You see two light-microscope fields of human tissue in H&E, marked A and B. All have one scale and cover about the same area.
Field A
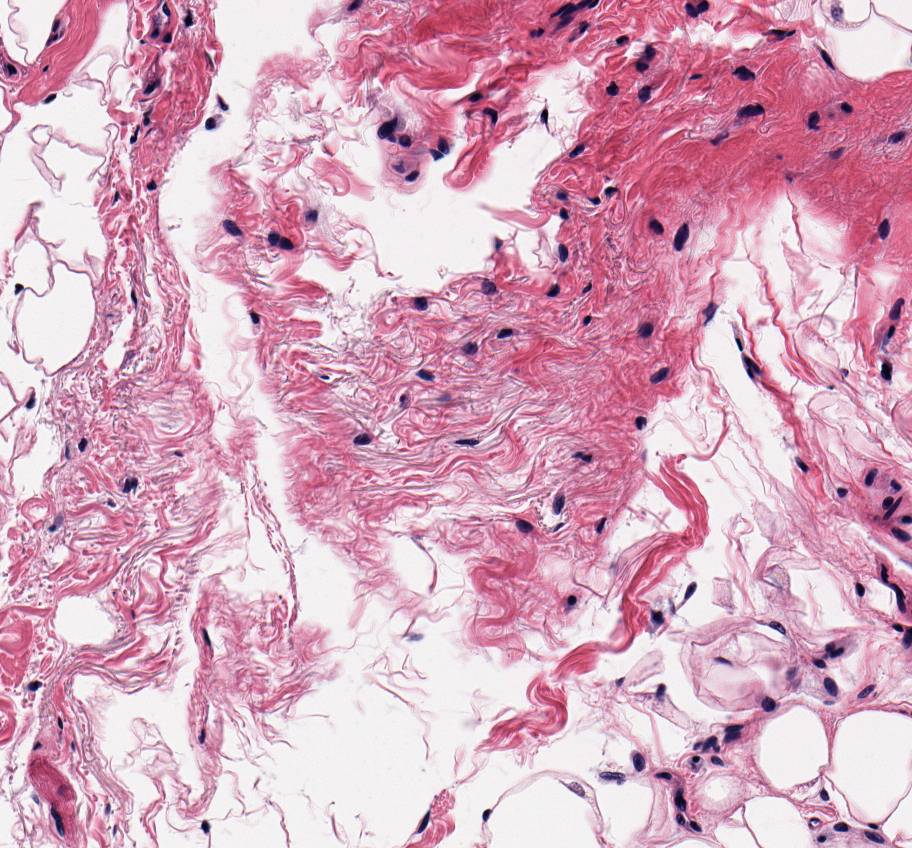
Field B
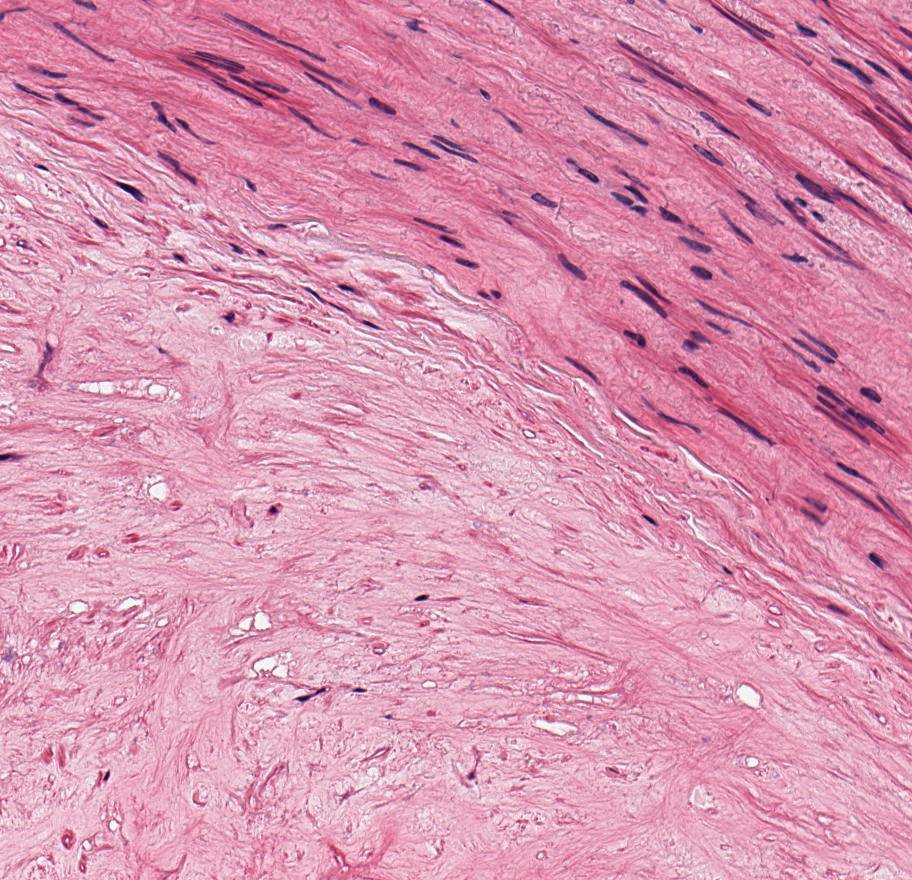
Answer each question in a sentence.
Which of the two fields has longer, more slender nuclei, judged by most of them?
Longer, more slender nuclei lie in field B.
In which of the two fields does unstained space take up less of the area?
Unstained space takes up less of field B than of field A.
